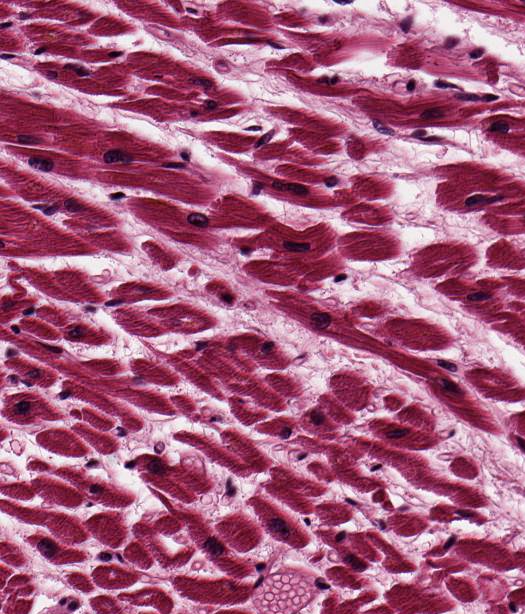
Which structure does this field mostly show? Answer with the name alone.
myocardium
